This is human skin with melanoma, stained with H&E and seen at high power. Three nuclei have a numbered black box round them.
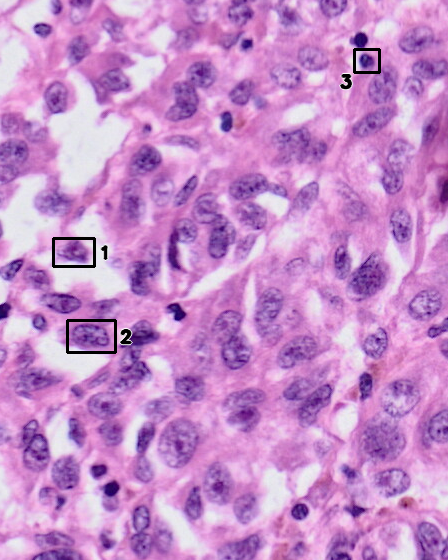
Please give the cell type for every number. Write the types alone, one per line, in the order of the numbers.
melanoma cell
melanoma cell
lymphocyte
